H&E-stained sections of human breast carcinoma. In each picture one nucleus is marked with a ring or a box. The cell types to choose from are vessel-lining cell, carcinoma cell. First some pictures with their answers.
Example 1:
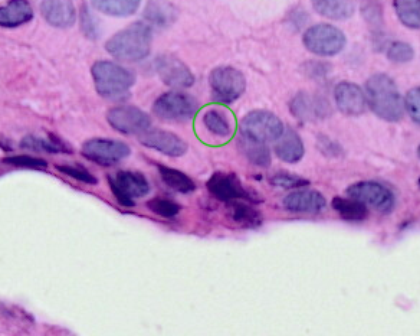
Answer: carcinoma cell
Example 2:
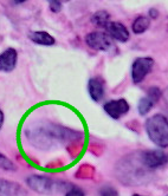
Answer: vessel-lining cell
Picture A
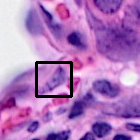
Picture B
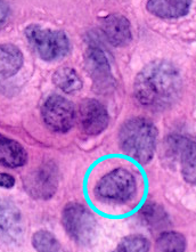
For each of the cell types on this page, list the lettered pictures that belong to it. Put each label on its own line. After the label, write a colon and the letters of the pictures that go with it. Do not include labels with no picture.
vessel-lining cell: A
carcinoma cell: B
